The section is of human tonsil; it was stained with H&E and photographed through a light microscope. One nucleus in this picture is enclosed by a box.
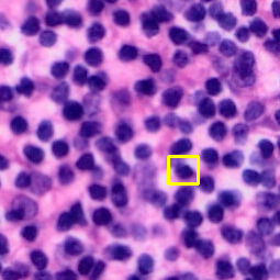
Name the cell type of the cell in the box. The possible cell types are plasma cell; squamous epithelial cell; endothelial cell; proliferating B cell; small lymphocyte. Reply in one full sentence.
In this section, the cell in the box is a small lymphocyte.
